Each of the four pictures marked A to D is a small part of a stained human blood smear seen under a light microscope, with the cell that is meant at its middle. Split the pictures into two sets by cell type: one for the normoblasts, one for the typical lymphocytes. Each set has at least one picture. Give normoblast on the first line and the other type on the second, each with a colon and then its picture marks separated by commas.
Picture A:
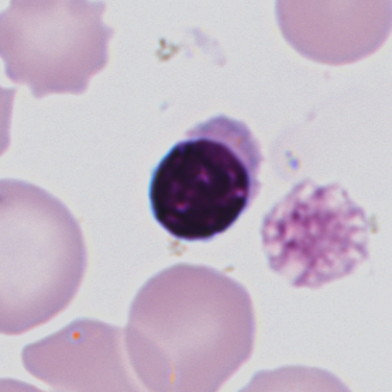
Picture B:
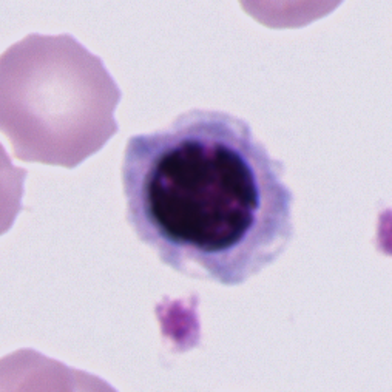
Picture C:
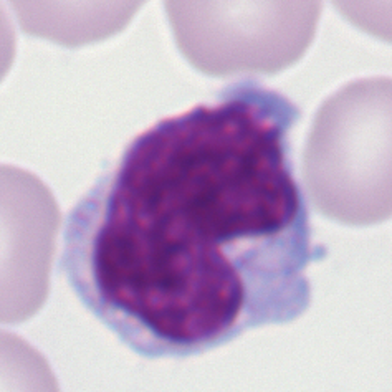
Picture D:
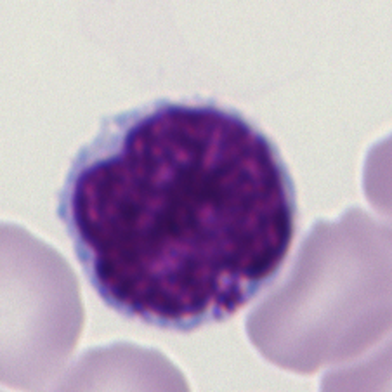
normoblast: A, B
typical lymphocyte: C, D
